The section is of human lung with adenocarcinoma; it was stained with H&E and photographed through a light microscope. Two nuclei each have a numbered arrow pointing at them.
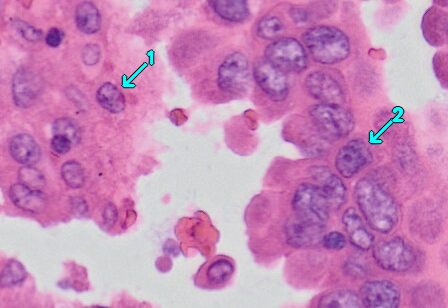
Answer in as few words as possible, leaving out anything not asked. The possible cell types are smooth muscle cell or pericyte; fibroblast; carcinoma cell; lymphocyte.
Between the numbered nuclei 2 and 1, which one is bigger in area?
2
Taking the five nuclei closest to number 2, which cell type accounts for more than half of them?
carcinoma cell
